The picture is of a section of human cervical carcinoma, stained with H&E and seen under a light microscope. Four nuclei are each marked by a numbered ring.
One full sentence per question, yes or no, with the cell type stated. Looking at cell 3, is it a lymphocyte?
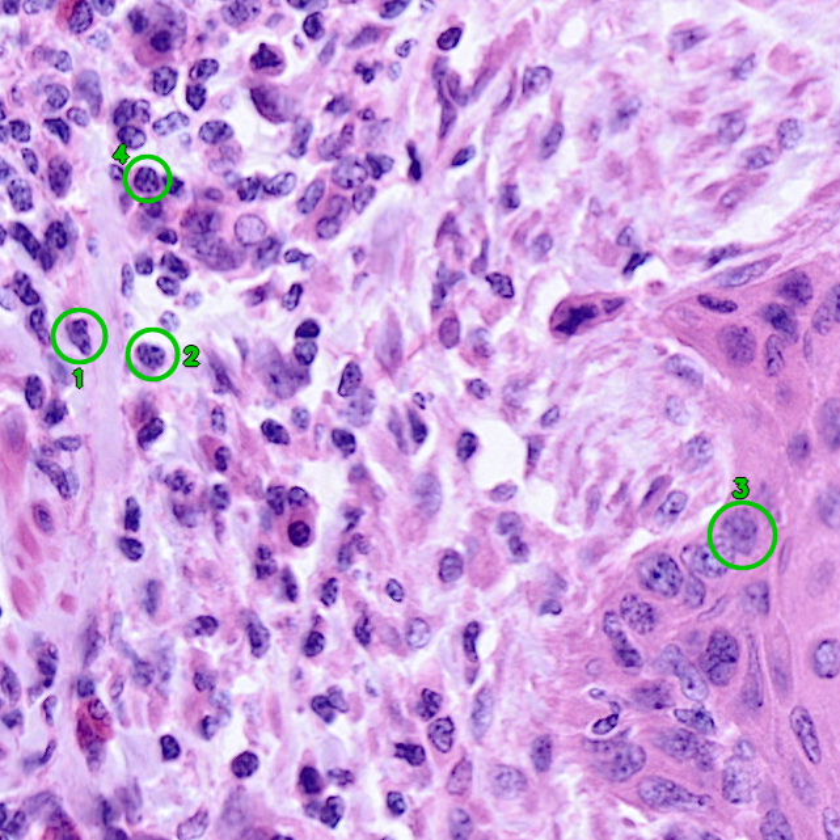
No, the nucleus numbered 3 belongs to a squamous carcinoma cell, not a lymphocyte.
